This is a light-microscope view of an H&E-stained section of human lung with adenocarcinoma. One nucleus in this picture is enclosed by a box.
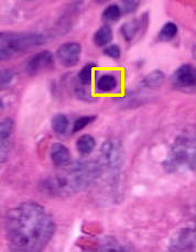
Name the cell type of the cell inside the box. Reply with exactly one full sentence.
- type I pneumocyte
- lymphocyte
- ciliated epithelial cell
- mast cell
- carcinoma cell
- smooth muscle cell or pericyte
As classified here, the cell inside the box is a lymphocyte.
